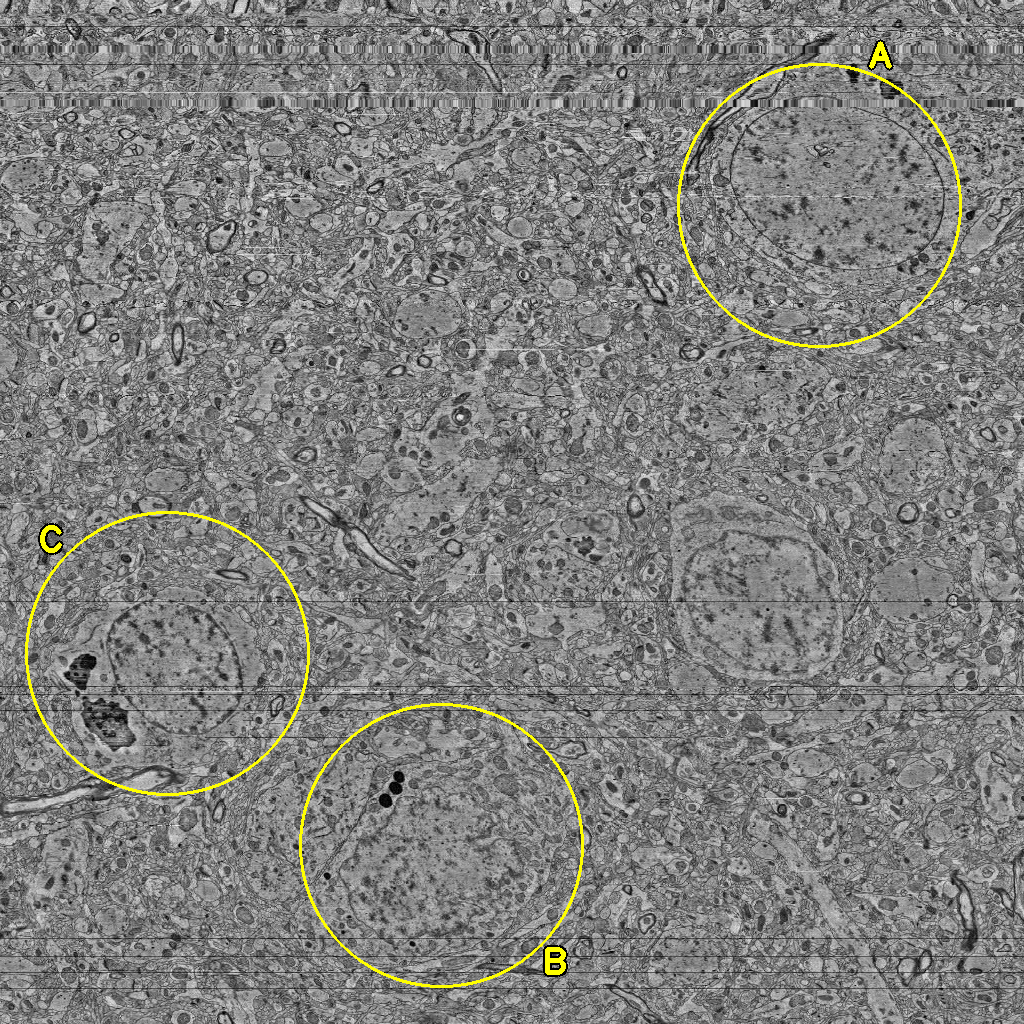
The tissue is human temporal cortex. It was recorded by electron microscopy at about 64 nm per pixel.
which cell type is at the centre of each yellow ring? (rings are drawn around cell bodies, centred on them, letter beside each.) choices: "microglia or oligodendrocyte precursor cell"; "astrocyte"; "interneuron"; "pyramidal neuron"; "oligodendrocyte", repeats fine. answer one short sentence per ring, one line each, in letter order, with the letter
Ring A is a pyramidal neuron.
Ring B is an interneuron.
Ring C is an astrocyte.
